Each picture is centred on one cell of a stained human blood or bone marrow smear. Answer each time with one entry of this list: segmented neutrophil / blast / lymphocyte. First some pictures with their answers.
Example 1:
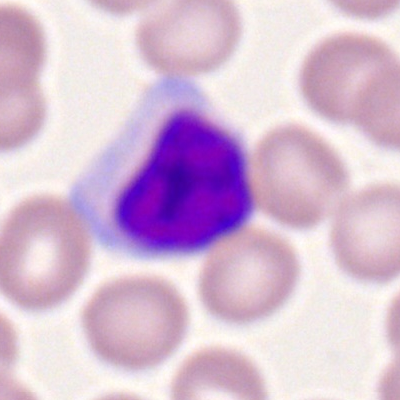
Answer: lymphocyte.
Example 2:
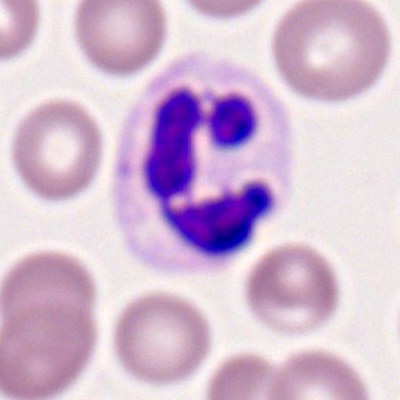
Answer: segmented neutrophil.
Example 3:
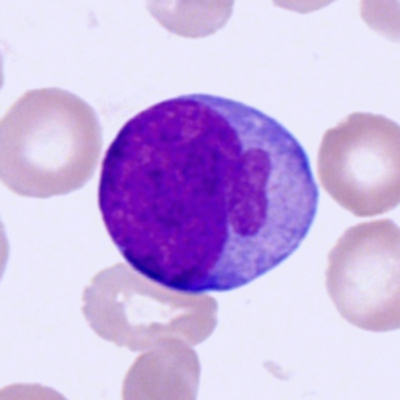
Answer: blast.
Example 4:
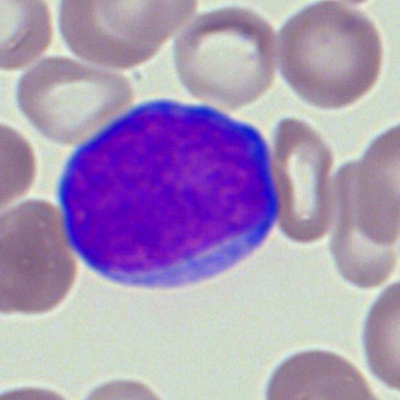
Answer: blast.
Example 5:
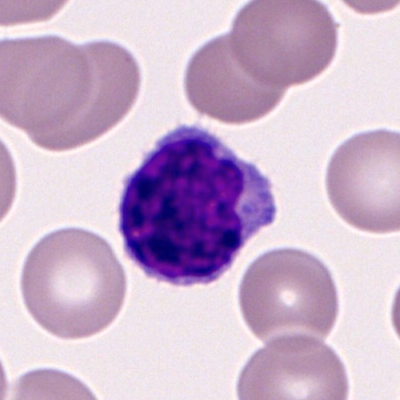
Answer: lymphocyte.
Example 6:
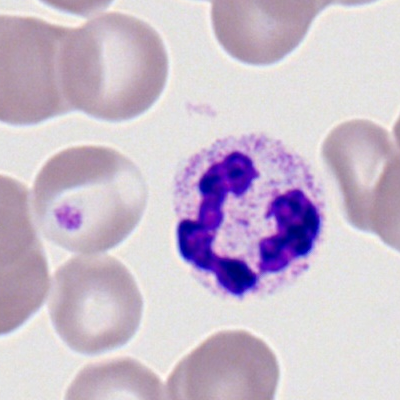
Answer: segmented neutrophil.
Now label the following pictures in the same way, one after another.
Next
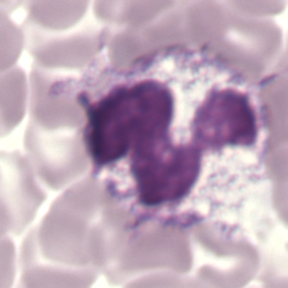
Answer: segmented neutrophil.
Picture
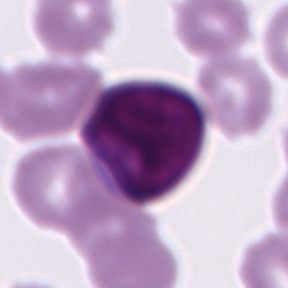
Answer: blast.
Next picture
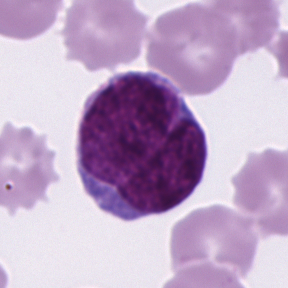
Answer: blast.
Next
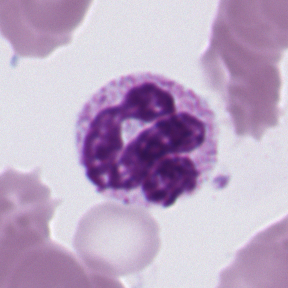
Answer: segmented neutrophil.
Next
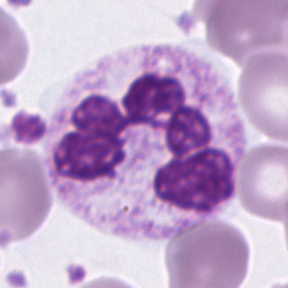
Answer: segmented neutrophil.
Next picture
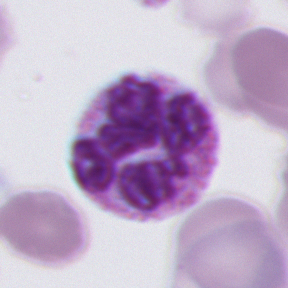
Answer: segmented neutrophil.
